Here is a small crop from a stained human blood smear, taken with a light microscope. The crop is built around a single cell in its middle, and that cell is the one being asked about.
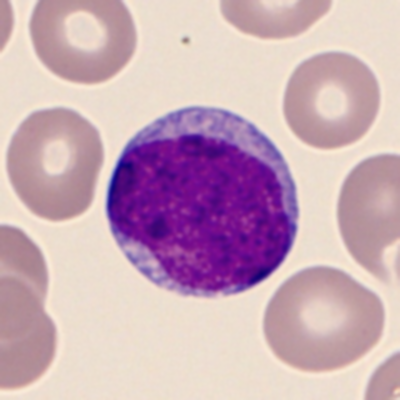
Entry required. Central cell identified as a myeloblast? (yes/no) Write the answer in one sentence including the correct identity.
Yes, this crop has a myeloblast at its centre.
